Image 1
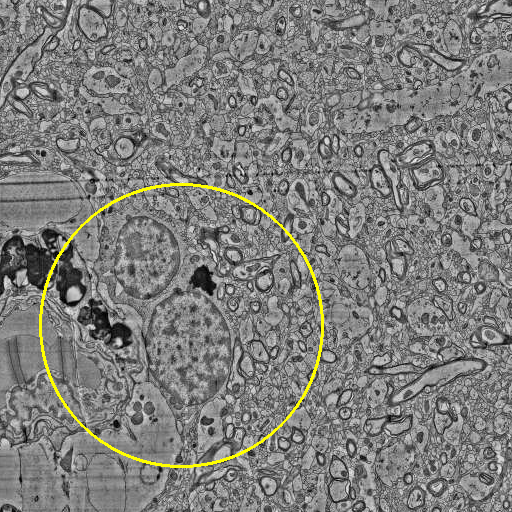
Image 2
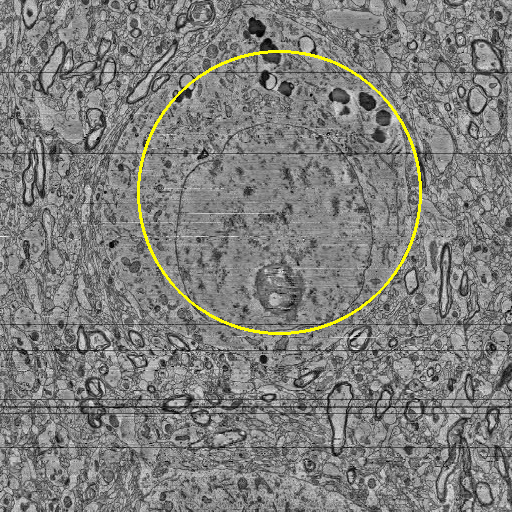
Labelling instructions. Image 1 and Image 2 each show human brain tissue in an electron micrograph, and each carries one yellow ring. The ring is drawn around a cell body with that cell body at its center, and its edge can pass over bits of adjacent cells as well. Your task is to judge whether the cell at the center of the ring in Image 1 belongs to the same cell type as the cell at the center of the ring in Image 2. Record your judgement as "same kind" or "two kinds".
two kinds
